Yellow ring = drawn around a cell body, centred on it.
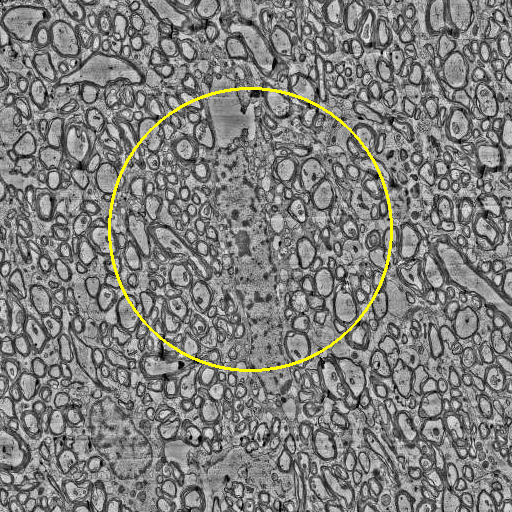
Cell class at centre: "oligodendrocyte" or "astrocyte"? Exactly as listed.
astrocyte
